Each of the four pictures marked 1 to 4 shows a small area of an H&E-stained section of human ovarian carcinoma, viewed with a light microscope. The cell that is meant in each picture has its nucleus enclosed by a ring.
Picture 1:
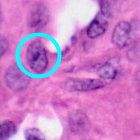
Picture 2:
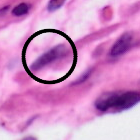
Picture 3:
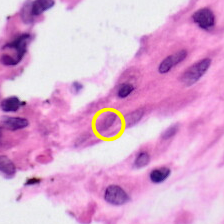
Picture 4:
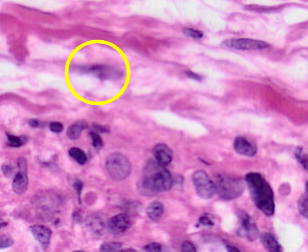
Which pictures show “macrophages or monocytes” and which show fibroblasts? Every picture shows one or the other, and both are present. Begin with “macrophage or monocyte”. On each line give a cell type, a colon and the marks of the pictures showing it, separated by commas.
macrophage or monocyte: 1
fibroblast: 2, 3, 4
